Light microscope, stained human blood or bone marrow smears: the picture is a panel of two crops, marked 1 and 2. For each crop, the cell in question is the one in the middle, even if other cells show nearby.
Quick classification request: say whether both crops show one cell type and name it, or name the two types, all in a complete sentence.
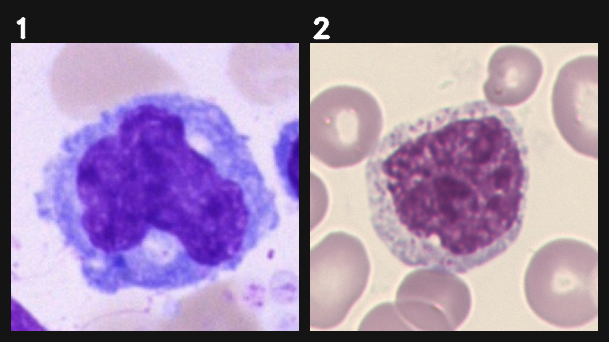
No, crop 1 is where a monocyte is, and crop 2 is where a myelocyte is.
